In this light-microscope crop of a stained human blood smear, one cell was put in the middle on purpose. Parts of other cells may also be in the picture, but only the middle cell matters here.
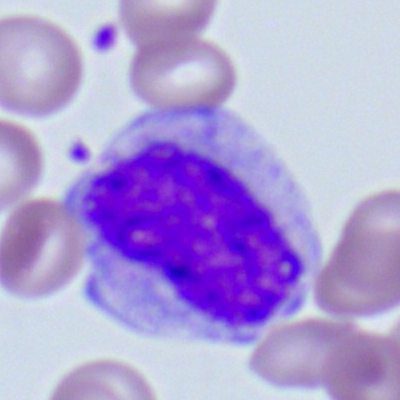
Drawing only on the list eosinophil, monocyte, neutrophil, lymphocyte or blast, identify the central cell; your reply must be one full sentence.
The central cell, amid any neighbouring cells, is a monocyte.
